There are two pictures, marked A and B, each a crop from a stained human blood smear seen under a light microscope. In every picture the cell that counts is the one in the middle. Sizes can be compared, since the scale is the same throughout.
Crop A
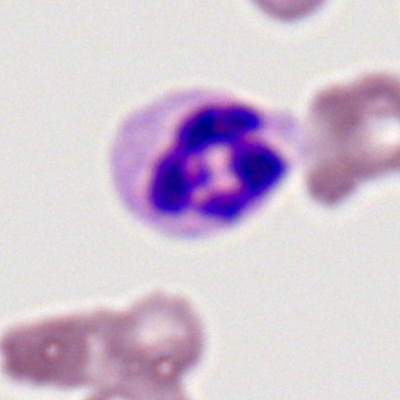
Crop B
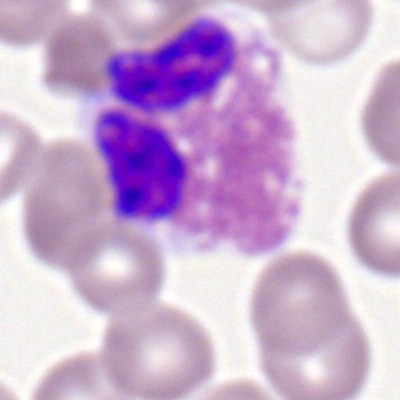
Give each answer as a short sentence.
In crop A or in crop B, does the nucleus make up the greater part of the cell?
In crop B the nucleus takes up the larger part of its cell.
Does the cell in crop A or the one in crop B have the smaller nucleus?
Smaller is the nucleus in crop B, and the other is about 1.5 times as large in area.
